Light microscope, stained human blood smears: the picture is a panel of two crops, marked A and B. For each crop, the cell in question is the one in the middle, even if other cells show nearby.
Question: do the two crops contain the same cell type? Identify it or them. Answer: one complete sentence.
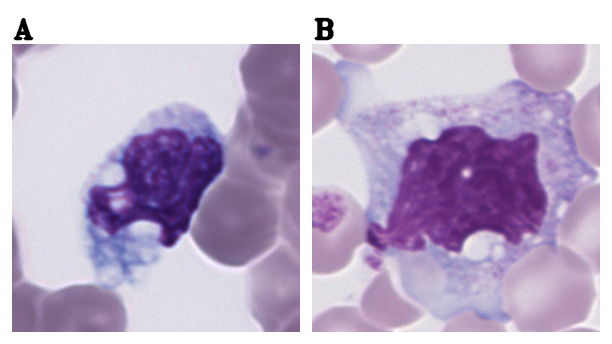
Yes, what both crops show is monocytes.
